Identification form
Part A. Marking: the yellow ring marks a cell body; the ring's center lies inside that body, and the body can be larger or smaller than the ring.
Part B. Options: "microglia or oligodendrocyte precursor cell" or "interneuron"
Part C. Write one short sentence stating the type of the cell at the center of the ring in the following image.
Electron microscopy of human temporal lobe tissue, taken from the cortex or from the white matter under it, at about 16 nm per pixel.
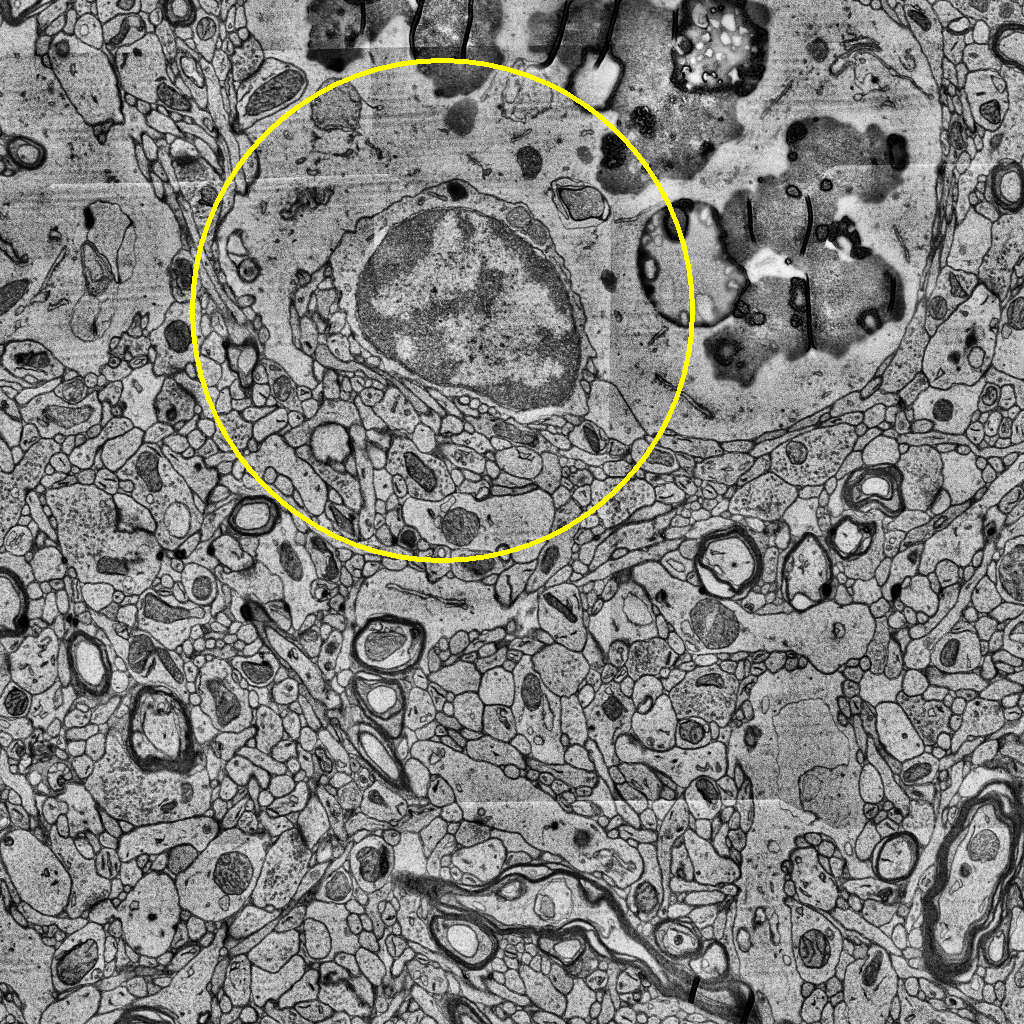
The center of the ring holds a microglial cell or oligodendrocyte precursor cell.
